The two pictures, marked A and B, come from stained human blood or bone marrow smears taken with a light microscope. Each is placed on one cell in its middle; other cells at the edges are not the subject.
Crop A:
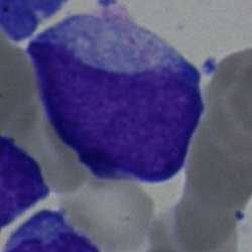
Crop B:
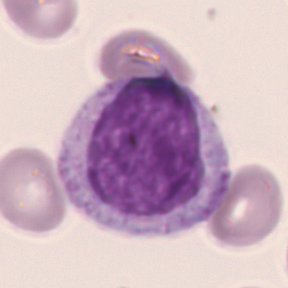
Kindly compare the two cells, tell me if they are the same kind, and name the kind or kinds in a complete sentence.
No, crop A and crop B contain, respectively, a blast and a myelocyte.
